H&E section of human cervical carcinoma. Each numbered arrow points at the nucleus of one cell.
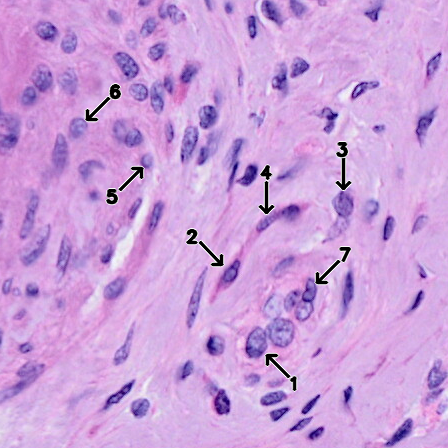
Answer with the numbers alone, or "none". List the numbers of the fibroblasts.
3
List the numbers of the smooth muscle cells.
2, 4, 5, 6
